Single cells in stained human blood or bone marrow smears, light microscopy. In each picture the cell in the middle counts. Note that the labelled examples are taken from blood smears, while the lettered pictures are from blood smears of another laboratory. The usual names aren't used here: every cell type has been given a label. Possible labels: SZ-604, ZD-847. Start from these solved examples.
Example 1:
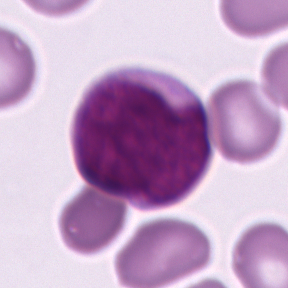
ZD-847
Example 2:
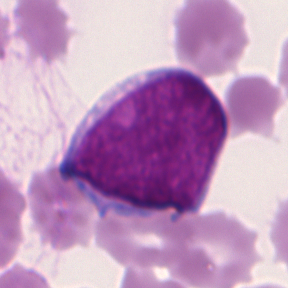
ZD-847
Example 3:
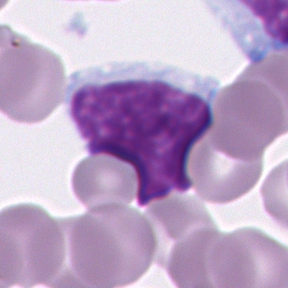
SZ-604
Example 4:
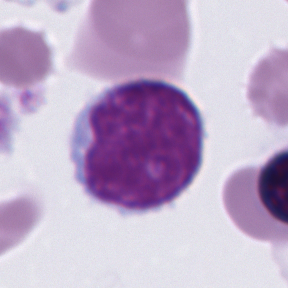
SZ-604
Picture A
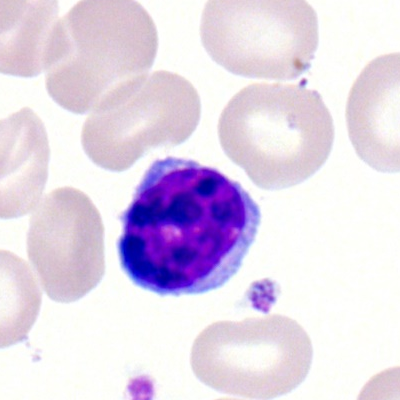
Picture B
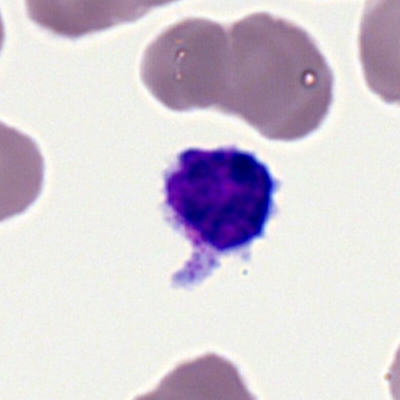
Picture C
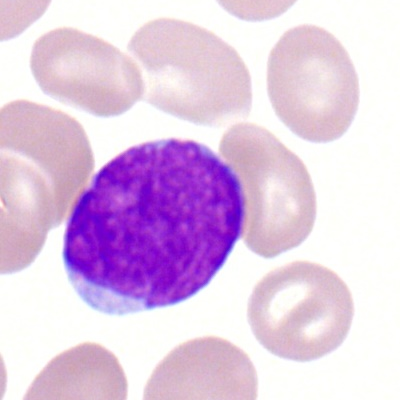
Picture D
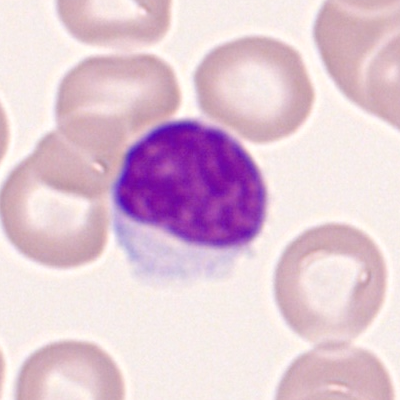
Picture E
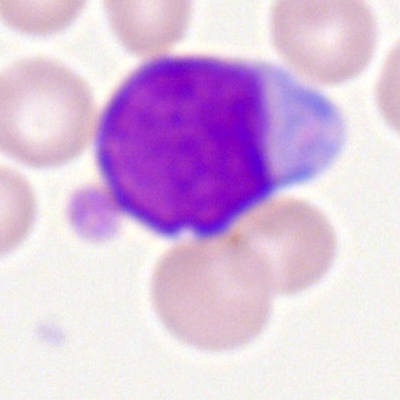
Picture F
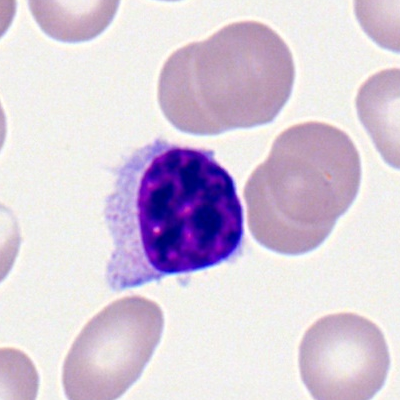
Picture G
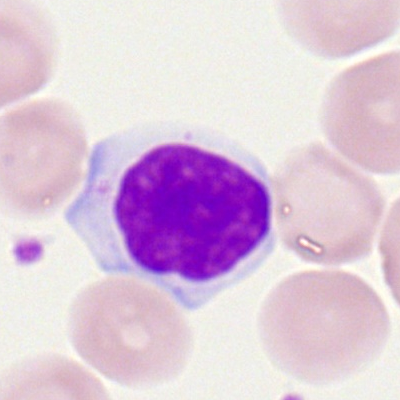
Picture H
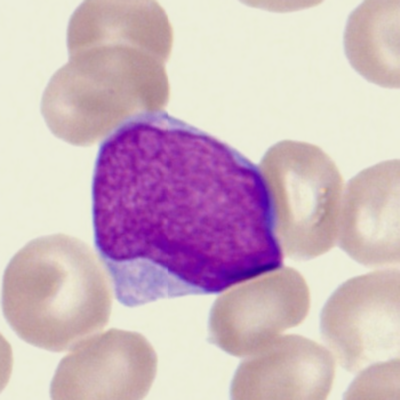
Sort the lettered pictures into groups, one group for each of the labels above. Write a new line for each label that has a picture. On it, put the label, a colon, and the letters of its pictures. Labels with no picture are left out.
SZ-604: A, B, D, F, G
ZD-847: C, E, H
